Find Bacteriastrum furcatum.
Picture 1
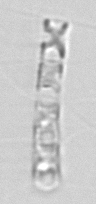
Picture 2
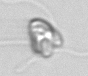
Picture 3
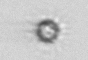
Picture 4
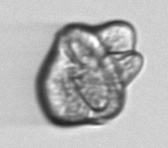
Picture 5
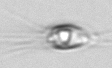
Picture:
1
